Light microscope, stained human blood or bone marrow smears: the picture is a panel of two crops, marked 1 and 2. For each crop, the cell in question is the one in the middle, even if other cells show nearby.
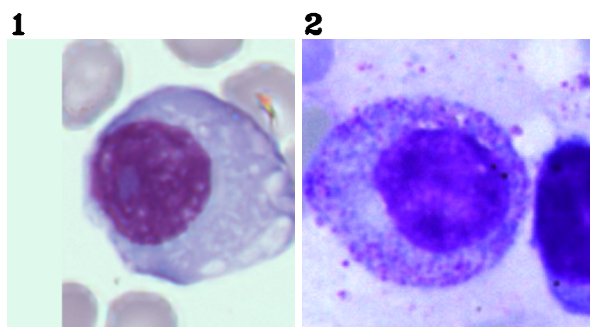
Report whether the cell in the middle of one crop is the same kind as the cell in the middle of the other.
no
